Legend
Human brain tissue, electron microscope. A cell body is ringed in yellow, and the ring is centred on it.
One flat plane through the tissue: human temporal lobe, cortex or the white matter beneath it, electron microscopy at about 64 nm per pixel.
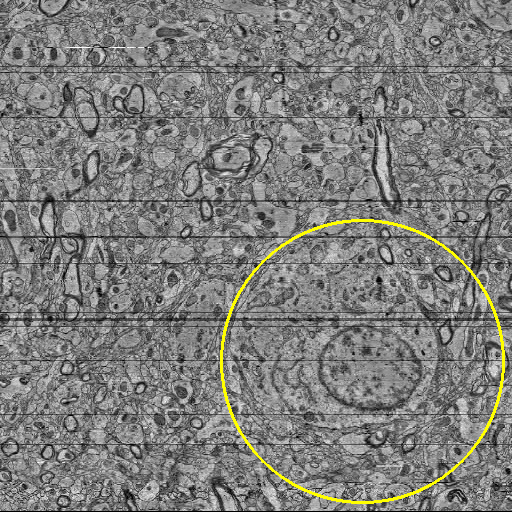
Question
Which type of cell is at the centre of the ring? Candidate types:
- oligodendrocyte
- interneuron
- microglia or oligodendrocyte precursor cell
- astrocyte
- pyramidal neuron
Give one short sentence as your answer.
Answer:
The yellow ring is centred here on a pyramidal neuron.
